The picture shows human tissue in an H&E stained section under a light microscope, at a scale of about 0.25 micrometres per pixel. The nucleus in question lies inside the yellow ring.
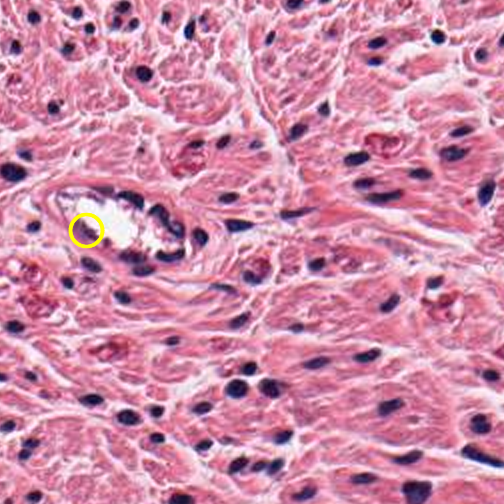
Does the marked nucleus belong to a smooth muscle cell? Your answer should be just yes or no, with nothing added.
no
